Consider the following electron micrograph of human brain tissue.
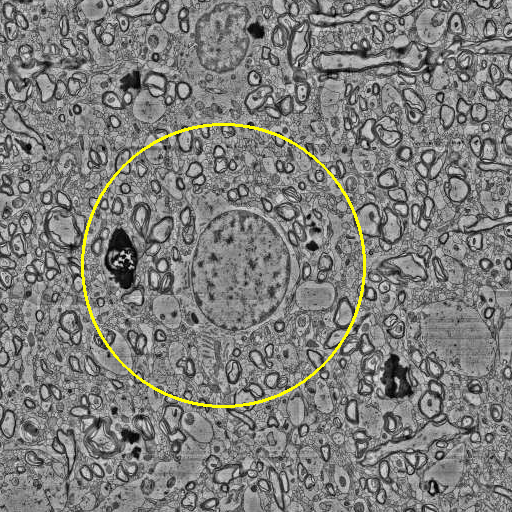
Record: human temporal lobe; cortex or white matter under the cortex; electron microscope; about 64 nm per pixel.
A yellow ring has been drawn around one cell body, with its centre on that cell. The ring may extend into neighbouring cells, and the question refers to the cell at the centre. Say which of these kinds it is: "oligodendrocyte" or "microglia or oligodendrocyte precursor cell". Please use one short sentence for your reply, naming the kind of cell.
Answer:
The centre of the ring falls on a microglial cell or oligodendrocyte precursor cell.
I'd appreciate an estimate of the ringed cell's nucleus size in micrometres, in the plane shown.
Roughly 7 micrometers across, in this plane.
